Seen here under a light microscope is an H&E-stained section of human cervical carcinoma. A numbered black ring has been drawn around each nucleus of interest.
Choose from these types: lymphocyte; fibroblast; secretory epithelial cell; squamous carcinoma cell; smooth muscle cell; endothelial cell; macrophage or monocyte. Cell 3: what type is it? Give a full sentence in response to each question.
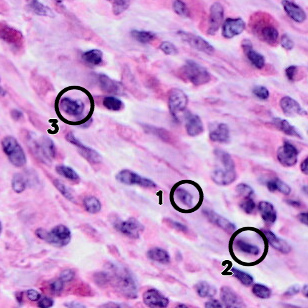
Heads up, the cell numbered 3 is a lymphocyte.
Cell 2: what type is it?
Denoted by the label 2 in the section is a lymphocyte.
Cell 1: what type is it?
The cell that is numbered 1 is a fibroblast.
